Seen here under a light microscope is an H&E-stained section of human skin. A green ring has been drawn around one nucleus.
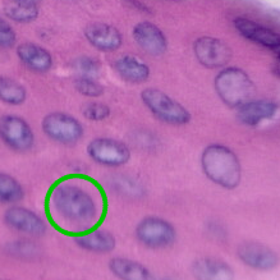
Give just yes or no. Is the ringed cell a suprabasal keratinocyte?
yes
